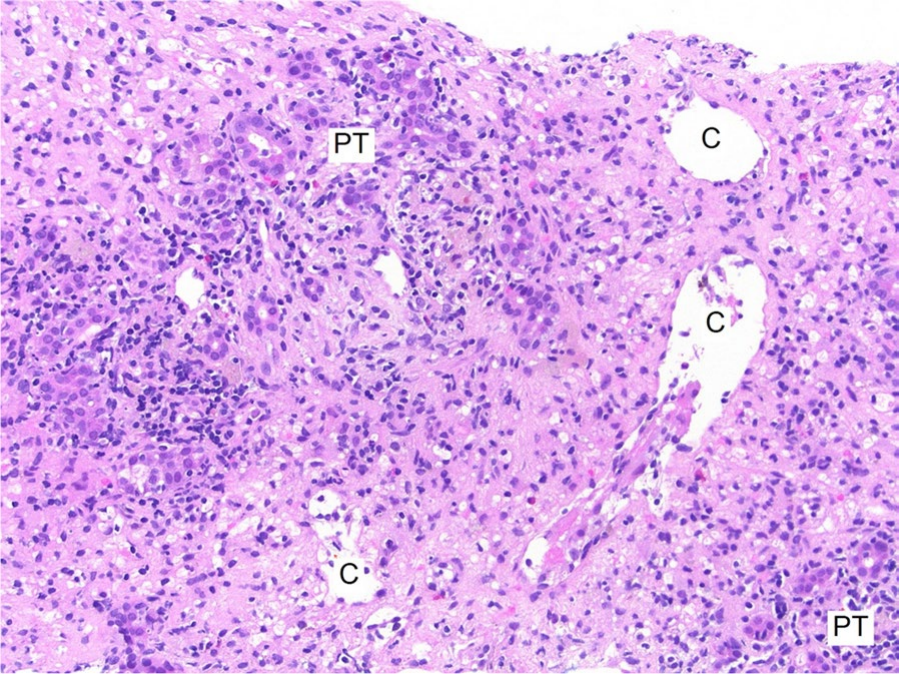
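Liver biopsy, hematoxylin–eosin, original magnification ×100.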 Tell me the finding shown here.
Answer: Multiacinar necrosis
